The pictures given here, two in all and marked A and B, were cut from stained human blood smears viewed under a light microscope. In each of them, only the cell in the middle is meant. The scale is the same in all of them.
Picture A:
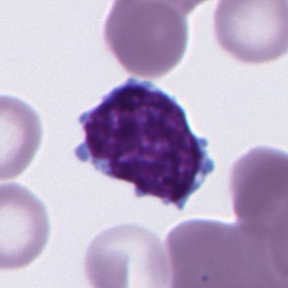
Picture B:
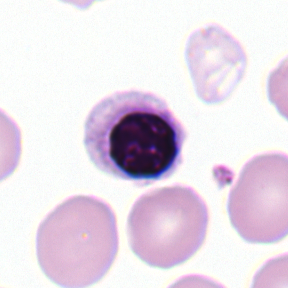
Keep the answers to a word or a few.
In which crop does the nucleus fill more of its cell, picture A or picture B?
A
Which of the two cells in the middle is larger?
A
